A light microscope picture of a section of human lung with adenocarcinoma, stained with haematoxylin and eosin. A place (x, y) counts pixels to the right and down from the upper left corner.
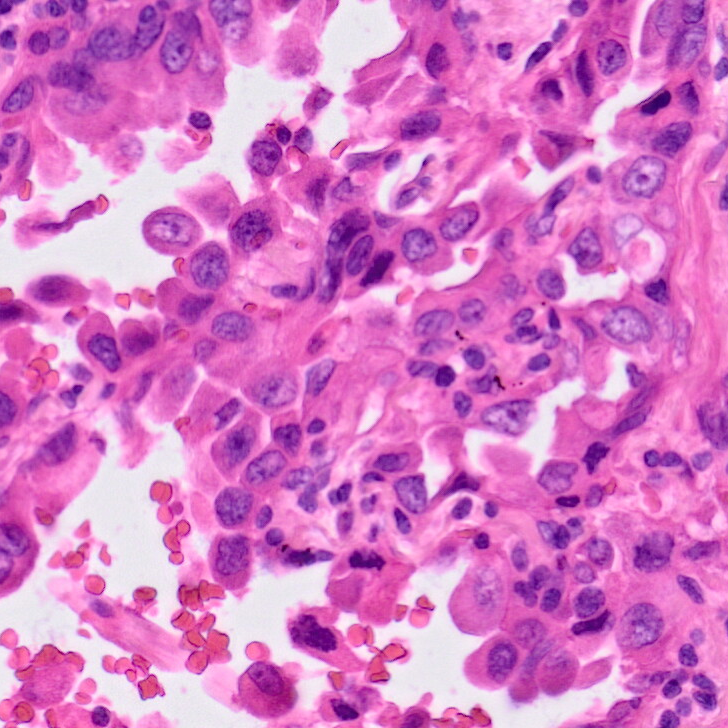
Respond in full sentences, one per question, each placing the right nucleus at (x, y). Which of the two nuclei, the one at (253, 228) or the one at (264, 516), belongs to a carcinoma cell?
Of the pair, the nucleus positioned at (253, 228) is that of a carcinoma cell.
